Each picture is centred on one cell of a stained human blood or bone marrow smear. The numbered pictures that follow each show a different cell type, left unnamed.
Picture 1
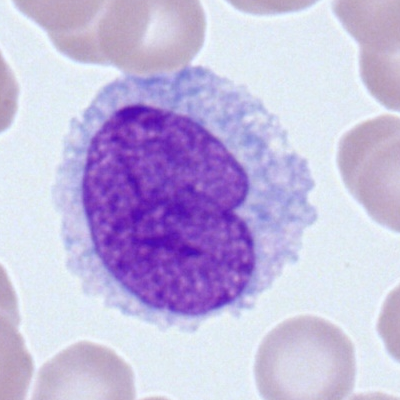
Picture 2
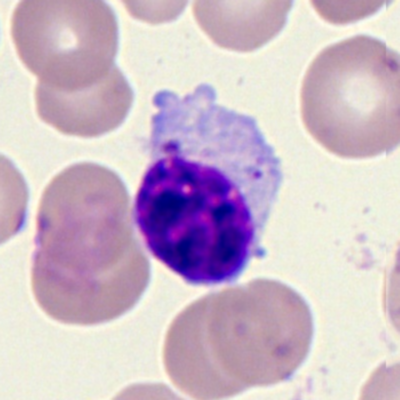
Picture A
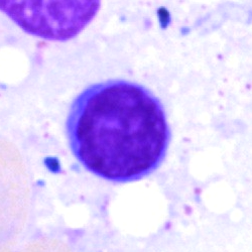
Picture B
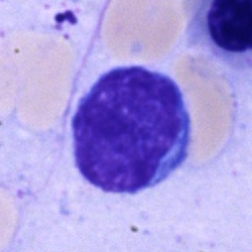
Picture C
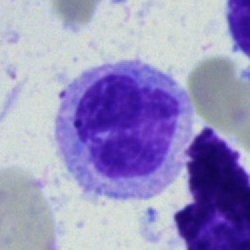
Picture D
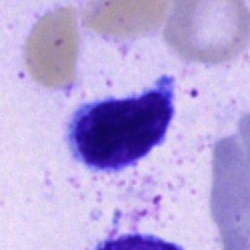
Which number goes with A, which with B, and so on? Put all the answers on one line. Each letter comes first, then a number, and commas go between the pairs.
A 2, B 2, C 1, D 2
